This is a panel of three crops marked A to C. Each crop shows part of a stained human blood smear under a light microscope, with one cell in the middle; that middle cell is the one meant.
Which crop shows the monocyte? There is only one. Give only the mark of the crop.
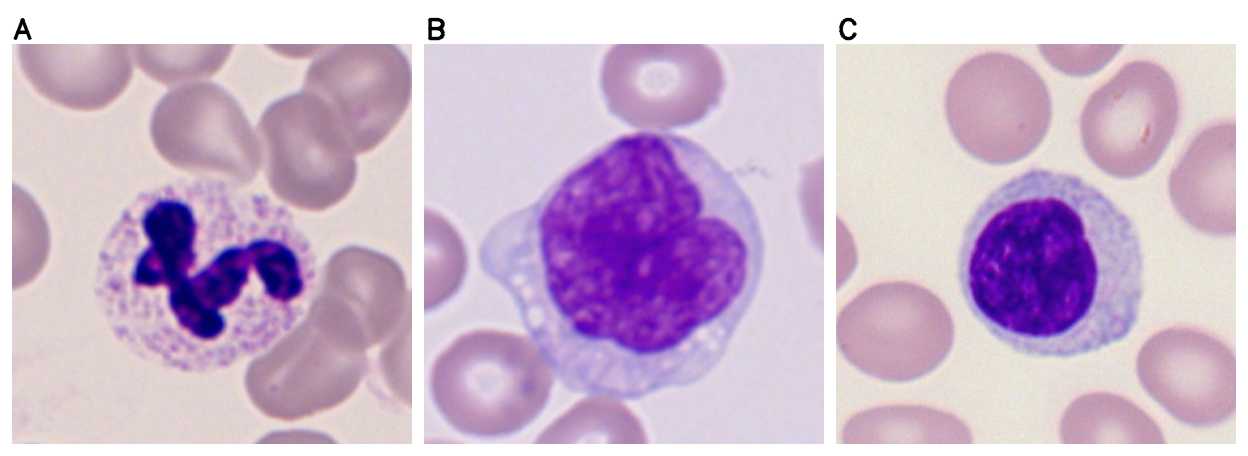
B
